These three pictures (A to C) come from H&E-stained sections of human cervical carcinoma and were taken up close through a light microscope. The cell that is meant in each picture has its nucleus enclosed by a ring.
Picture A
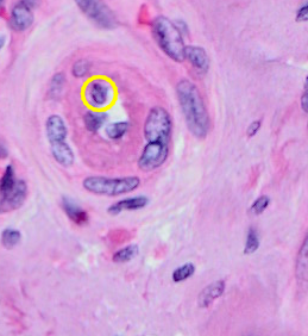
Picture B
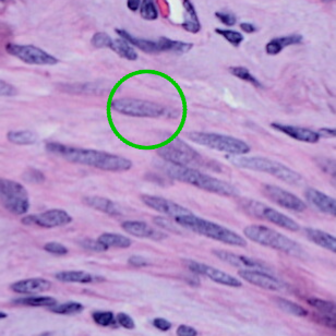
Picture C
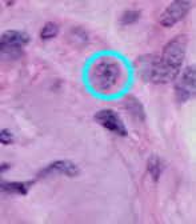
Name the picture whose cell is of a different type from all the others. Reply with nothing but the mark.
A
